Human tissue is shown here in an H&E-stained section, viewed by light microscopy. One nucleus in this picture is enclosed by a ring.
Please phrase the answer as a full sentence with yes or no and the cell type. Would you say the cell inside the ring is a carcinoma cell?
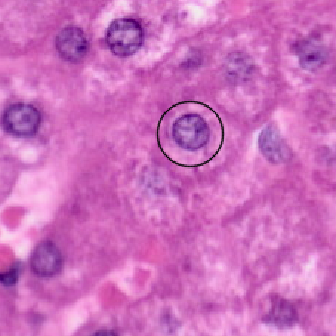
No, the cell inside the ring does not represent a carcinoma cell; it represents a hepatocyte.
